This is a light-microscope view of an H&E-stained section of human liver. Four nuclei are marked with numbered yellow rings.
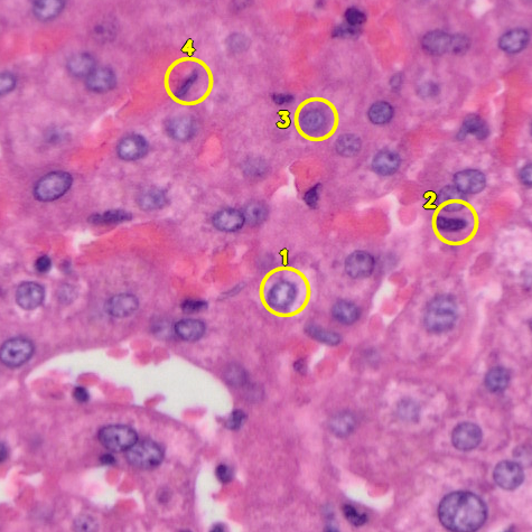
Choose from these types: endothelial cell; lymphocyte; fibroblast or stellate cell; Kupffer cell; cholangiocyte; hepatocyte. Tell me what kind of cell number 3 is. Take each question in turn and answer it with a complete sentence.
Nucleus 3 in this section belongs to a hepatocyte.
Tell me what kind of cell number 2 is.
The cell numbered 2 represents a fibroblast or stellate cell.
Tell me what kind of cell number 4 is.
Classified as an endothelial cell is the cell with the number 4.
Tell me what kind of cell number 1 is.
Cell 1 in the field of view is a hepatocyte.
